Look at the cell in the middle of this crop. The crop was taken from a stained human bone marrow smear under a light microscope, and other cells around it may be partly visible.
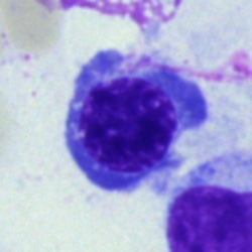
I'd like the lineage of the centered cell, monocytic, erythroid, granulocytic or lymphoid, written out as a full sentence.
The middle cell is placed in the erythroid lineage.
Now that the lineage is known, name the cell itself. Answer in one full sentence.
The identification for the central cell is an erythroblast.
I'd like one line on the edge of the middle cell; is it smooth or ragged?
The cytoplasmic margin is uneven, whether through ragged segments or through projections.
